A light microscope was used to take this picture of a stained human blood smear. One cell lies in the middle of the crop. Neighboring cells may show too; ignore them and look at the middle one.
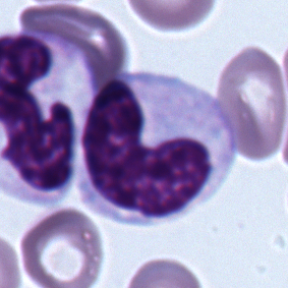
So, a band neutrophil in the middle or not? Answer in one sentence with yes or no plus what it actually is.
Yes, the cell at the middle of the frame is a band neutrophil.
